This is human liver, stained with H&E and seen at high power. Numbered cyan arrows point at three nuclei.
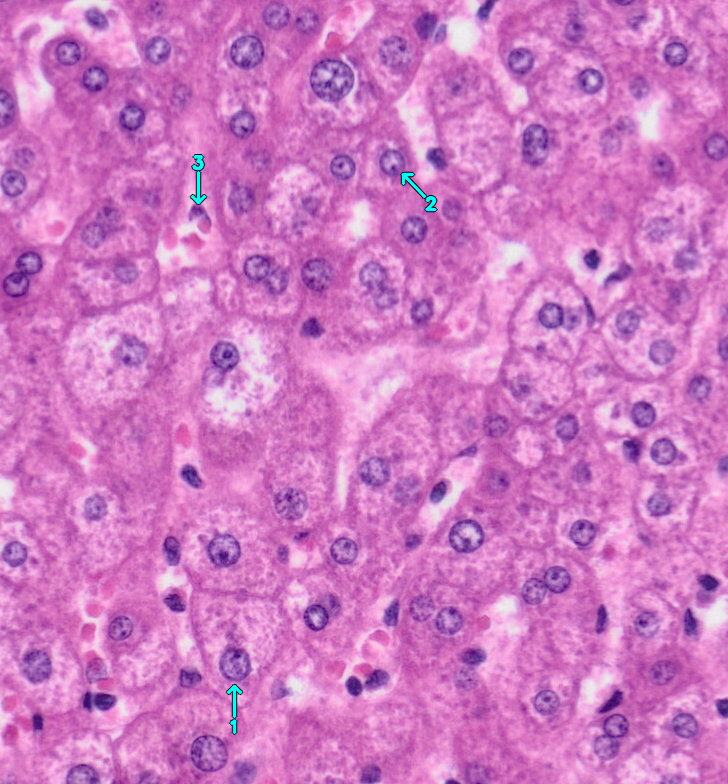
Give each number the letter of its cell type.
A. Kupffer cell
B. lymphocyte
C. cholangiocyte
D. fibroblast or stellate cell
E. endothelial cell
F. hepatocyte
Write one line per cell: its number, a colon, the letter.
1: F
2: F
3: E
